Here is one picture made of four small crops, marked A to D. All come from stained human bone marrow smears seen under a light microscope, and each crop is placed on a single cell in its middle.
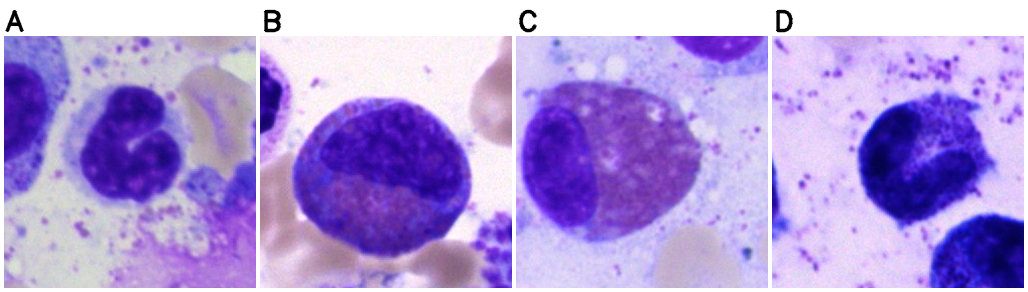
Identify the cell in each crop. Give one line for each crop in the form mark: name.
A: band neutrophil
B: eosinophil
C: eosinophil
D: band neutrophil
